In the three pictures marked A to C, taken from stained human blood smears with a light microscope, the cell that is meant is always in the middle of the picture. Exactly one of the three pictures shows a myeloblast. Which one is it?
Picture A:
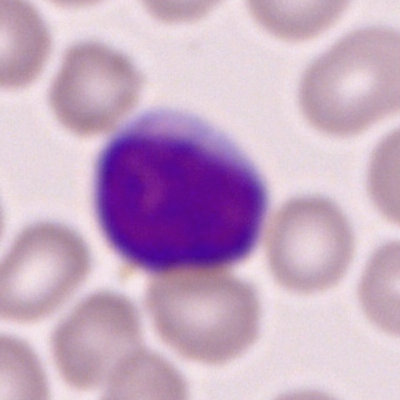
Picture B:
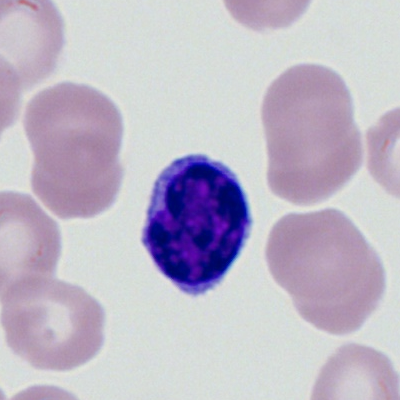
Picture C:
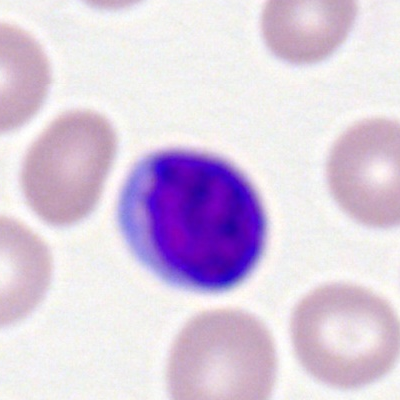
A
